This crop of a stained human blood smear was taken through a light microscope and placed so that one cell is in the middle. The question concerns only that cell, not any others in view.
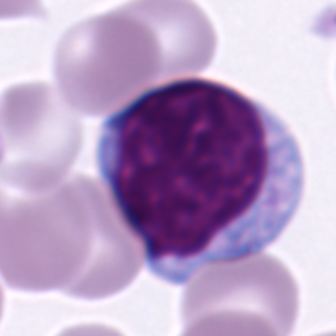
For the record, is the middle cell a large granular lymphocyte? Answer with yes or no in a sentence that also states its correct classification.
Yes, the cell at the middle of the frame is a large granular lymphocyte.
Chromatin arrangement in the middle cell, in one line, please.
If you check the nucleus, you will find the chromatin coarsely clumped.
